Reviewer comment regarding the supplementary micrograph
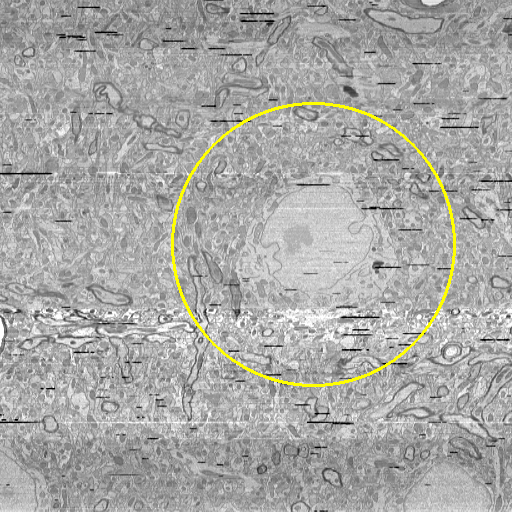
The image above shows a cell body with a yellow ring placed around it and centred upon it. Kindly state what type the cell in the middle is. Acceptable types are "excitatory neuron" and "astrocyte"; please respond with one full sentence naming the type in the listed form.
In the image above, the cell on which the yellow ring is centred is an excitatory neuron.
